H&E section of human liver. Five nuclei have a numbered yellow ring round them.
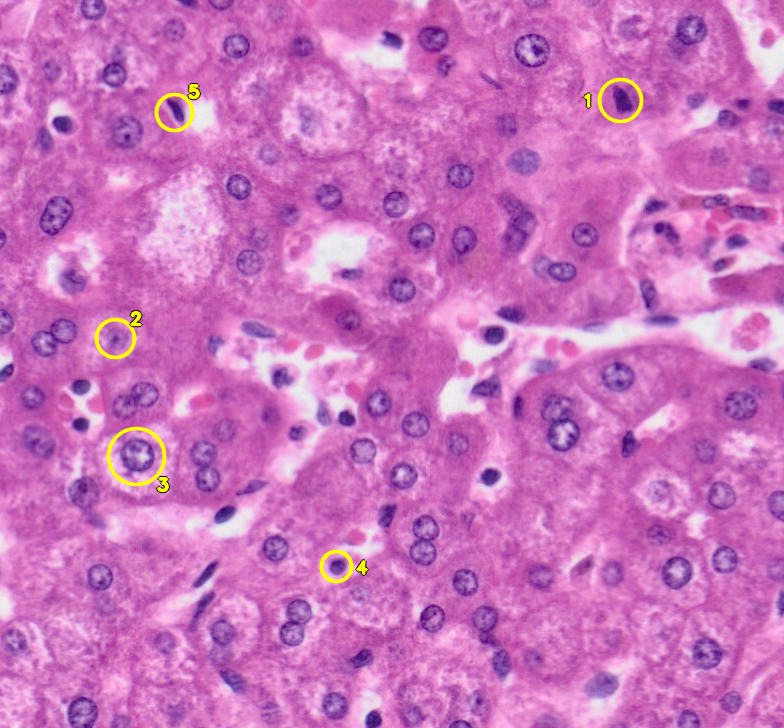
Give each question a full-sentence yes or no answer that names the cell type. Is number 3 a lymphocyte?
No, the cell under number 3 is a hepatocyte, not a lymphocyte.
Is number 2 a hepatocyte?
Yes, in the section, number 2 is a hepatocyte.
